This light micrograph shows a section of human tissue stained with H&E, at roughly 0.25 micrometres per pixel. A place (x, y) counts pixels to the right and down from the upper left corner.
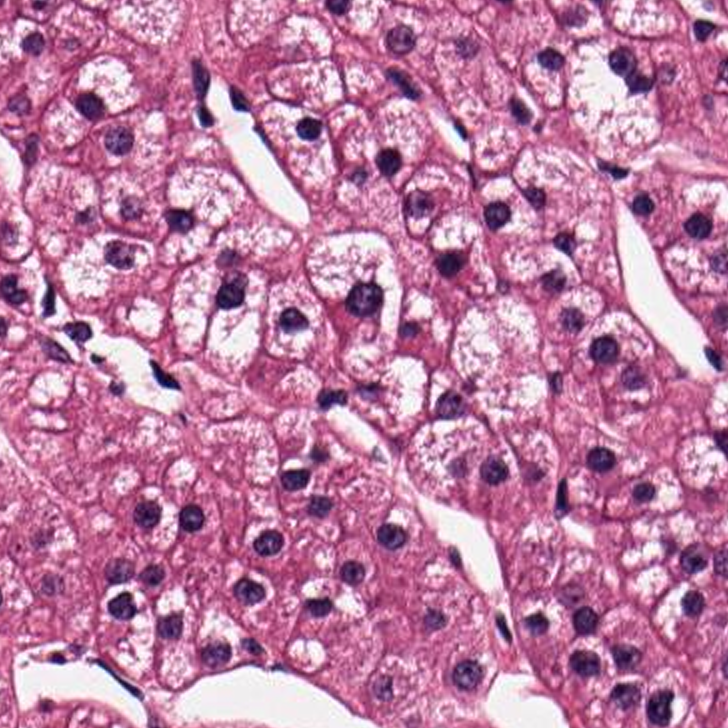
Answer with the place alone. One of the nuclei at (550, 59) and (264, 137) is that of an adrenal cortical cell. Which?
(550, 59)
